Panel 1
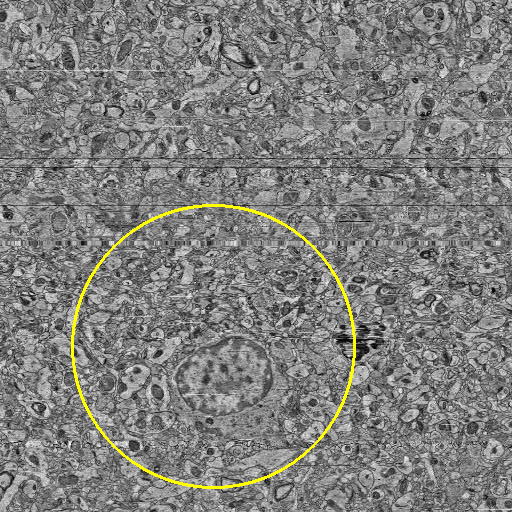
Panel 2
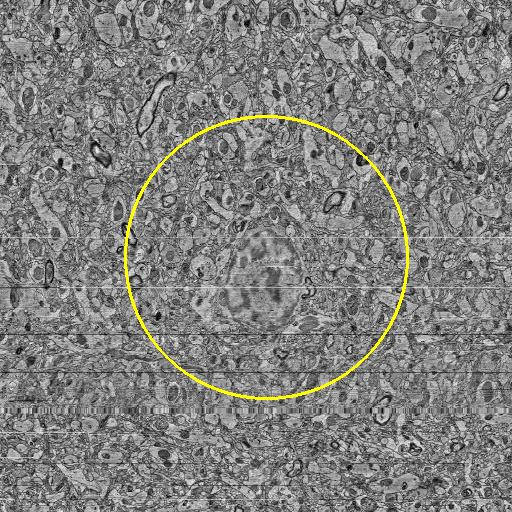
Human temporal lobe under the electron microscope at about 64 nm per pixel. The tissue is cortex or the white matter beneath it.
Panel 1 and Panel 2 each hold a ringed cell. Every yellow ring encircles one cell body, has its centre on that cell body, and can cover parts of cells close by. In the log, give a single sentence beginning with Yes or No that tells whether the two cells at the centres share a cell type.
Yes, in Panel 1 and Panel 2 the centred cells share a cell type.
